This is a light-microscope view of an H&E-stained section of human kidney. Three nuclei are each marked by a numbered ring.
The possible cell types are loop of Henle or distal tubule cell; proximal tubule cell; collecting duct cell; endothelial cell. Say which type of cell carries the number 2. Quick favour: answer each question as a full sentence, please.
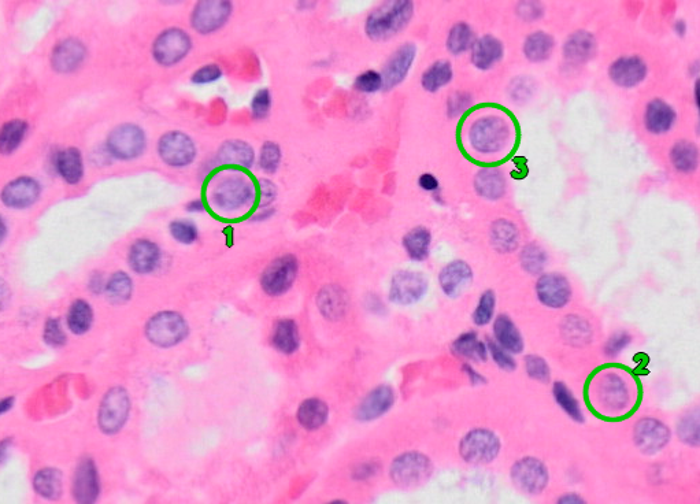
Among the marked cells, number 2 is a loop of Henle or distal tubule cell.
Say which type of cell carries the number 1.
The cell that bears the number 1 is a collecting duct cell.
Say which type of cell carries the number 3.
Regarding cell 3, this one is a loop of Henle or distal tubule cell.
